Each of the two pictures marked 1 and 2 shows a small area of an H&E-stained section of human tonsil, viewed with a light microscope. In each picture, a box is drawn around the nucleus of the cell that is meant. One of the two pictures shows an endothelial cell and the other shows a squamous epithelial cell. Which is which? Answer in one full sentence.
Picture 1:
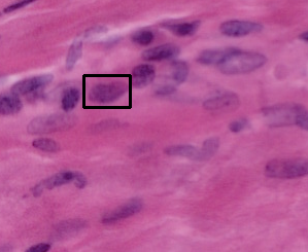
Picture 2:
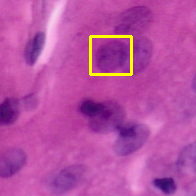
Picture 2 shows a squamous epithelial cell, while picture 1 shows an endothelial cell.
